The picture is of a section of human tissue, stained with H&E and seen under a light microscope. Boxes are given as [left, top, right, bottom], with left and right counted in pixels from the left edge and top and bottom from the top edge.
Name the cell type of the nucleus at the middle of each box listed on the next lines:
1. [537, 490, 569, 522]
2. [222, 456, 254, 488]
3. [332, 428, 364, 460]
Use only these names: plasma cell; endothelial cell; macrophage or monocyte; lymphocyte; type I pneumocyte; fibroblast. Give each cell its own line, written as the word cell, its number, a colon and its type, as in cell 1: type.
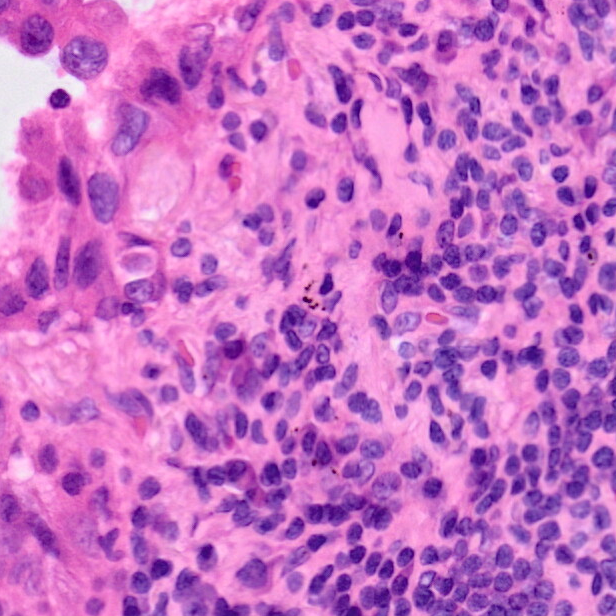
cell 1: lymphocyte
cell 2: plasma cell
cell 3: lymphocyte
